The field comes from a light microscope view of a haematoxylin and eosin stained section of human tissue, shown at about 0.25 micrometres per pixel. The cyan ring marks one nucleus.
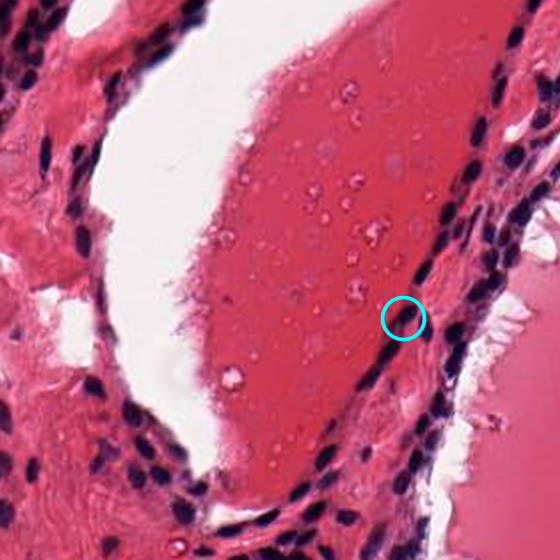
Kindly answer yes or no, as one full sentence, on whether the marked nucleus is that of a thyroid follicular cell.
Yes, it is a thyroid follicular cell to which the marked nucleus belongs.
